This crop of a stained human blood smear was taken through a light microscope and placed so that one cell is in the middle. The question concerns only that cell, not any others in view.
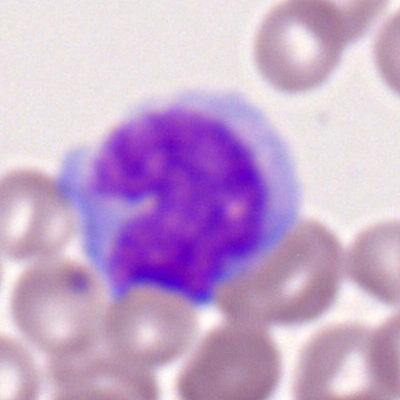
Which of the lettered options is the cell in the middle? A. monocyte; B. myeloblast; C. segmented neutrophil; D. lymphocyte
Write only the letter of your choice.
A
